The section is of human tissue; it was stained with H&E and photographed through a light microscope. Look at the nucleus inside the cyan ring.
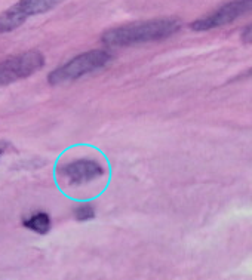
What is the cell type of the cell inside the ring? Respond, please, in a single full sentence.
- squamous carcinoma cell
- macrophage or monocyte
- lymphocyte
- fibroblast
Assigned to a cell type, the cell inside the ring is a fibroblast.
